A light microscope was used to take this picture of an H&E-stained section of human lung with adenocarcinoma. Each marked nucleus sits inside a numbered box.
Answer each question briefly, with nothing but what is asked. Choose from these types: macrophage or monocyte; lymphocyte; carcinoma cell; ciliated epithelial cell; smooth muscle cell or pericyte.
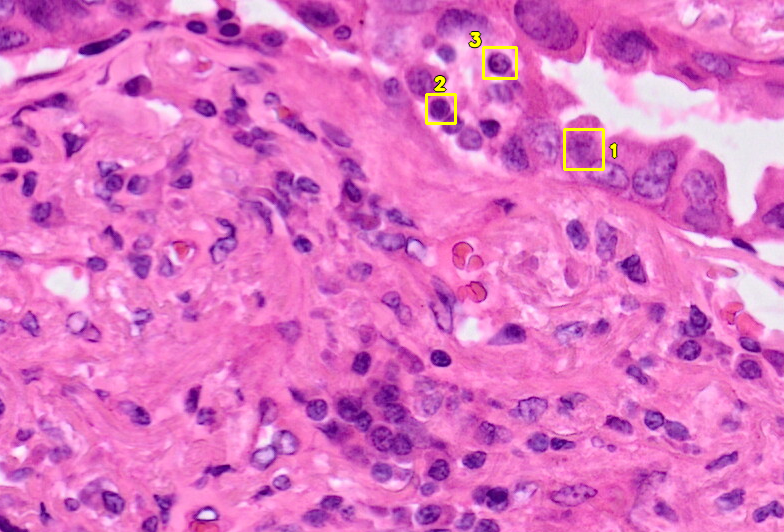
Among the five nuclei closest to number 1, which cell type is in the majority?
carcinoma cell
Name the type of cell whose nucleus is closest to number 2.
lymphocyte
